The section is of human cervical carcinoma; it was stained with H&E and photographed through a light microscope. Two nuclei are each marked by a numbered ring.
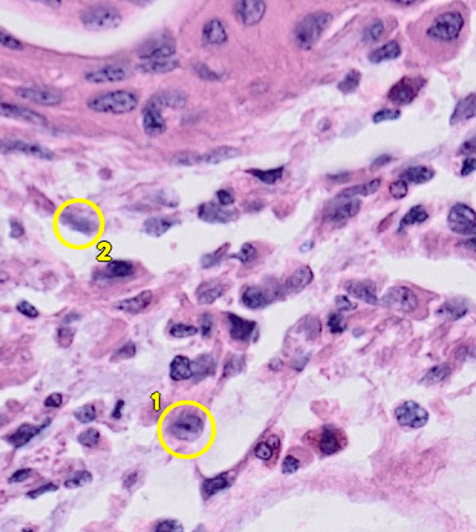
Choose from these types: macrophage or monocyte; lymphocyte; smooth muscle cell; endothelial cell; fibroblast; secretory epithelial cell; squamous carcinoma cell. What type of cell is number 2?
fibroblast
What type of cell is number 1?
macrophage or monocyte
